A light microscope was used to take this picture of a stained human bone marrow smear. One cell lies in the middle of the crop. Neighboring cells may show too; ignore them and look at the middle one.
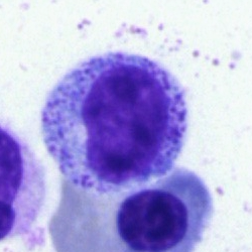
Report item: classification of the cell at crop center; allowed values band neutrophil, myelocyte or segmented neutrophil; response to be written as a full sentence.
At the middle of the frame sits a myelocyte.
